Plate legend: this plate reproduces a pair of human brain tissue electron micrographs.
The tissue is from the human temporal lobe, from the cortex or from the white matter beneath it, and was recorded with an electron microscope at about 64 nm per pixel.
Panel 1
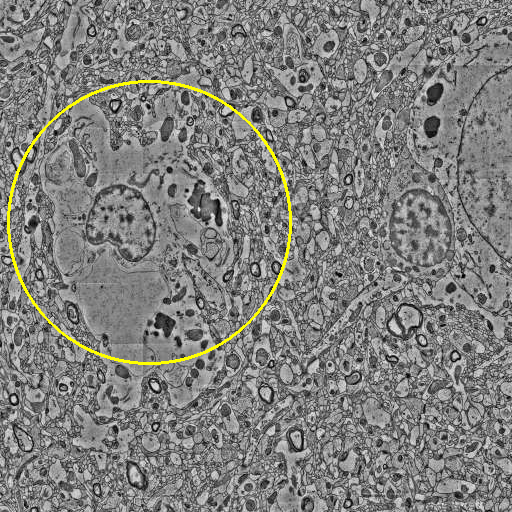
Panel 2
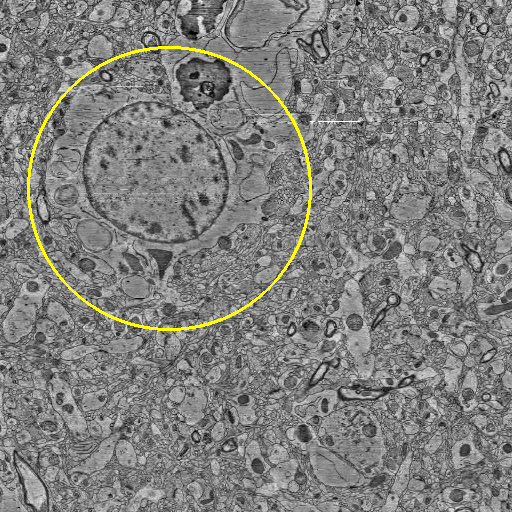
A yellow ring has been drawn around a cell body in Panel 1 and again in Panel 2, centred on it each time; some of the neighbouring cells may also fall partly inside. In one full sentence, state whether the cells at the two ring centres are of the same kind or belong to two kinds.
The ring-centred cells of Panel 1 and Panel 2 are of the same kind.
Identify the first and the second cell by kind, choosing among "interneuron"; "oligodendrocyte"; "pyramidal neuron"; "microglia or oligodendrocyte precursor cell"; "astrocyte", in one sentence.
The cell at the ring centre is an astrocyte in both pictures.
